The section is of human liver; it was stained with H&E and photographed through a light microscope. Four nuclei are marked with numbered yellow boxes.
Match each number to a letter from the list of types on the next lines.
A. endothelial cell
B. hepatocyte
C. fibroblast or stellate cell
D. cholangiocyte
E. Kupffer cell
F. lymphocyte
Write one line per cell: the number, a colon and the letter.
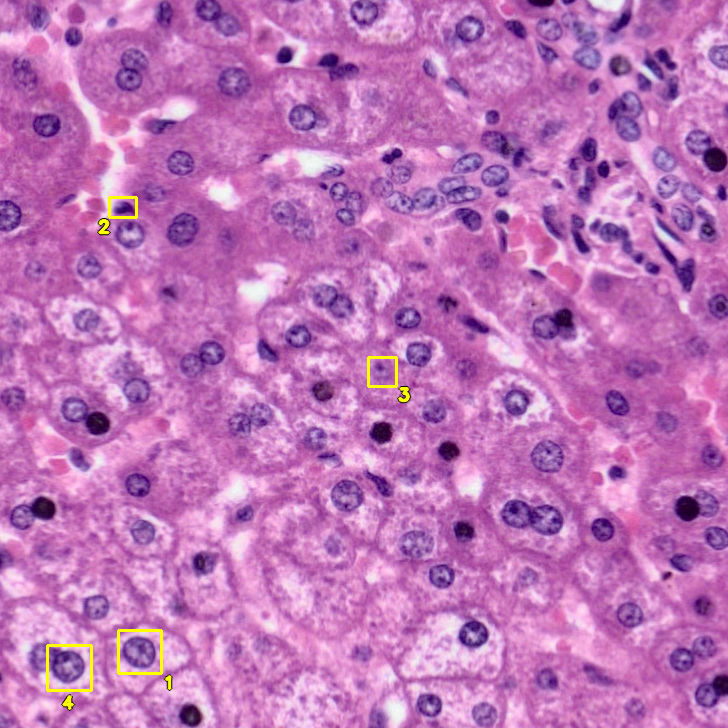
1: B
2: C
3: B
4: B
